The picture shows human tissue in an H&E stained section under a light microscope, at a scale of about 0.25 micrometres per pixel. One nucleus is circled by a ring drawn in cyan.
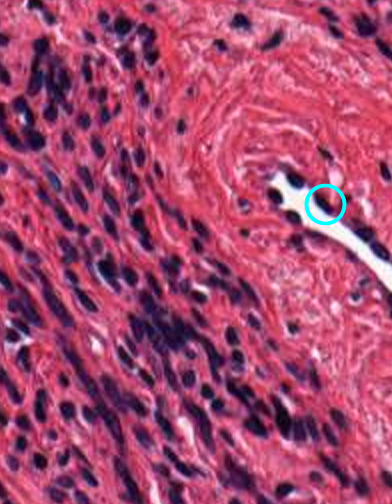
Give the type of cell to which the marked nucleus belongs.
endothelial cell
